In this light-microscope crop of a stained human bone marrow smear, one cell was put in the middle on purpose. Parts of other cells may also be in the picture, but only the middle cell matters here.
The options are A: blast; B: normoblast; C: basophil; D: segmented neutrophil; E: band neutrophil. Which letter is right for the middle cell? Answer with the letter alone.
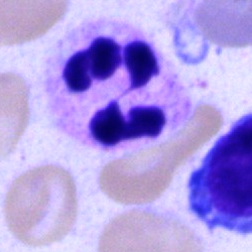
D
